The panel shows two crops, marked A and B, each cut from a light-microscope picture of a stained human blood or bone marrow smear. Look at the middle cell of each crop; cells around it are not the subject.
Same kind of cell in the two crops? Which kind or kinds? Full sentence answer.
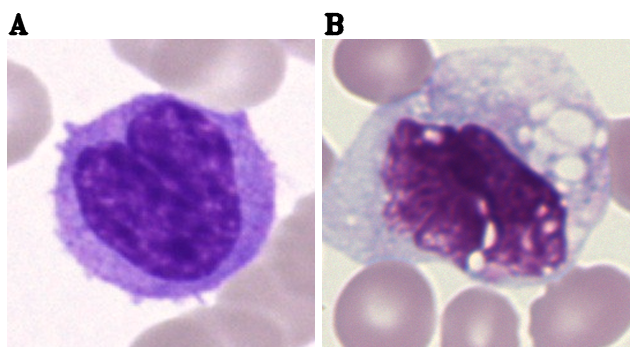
Yes, in both crops, monocytes are the cells at the middle.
